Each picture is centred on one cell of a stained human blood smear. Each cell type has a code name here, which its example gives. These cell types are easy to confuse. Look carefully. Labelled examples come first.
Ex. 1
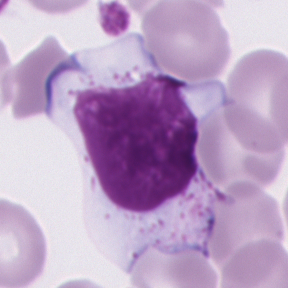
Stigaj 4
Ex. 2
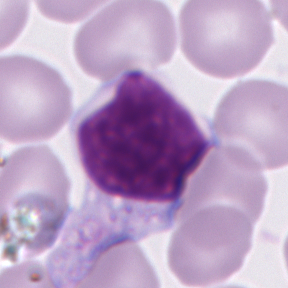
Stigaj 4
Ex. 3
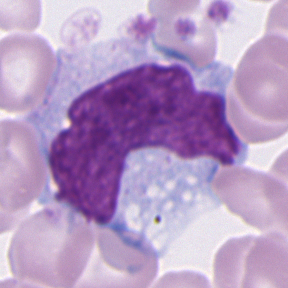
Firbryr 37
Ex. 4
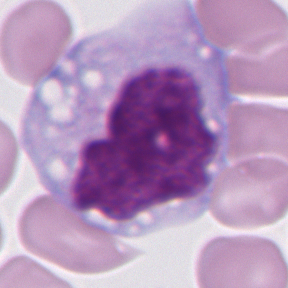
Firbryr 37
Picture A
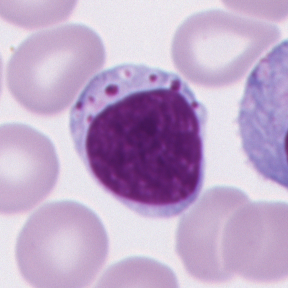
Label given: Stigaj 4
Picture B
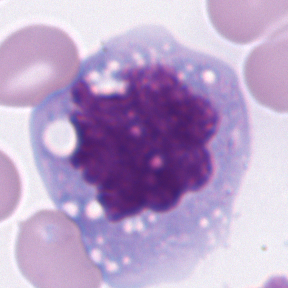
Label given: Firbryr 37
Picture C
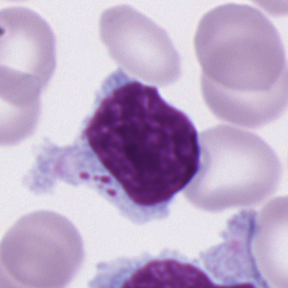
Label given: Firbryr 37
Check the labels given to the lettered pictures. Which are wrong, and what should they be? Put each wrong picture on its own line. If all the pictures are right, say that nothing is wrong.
Wrong: C (Firbryr 37); correct: Stigaj 4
